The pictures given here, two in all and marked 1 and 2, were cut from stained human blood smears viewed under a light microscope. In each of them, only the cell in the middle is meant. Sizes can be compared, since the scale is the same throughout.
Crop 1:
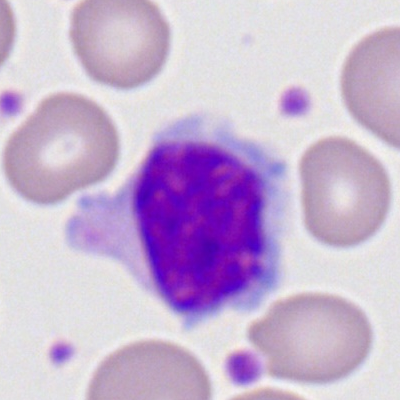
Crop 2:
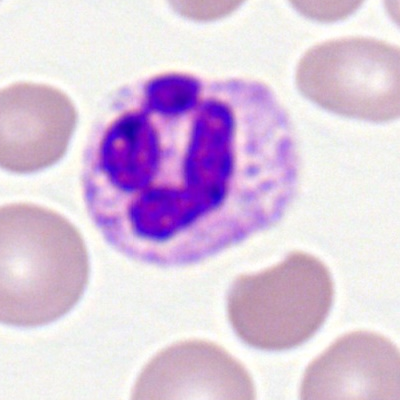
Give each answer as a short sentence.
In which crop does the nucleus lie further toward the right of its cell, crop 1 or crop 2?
It is the nucleus in crop 1 that lies further toward the right of its cell.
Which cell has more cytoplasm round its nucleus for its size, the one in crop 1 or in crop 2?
Of the two, the nucleus in crop 2 leaves more room for cytoplasm.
